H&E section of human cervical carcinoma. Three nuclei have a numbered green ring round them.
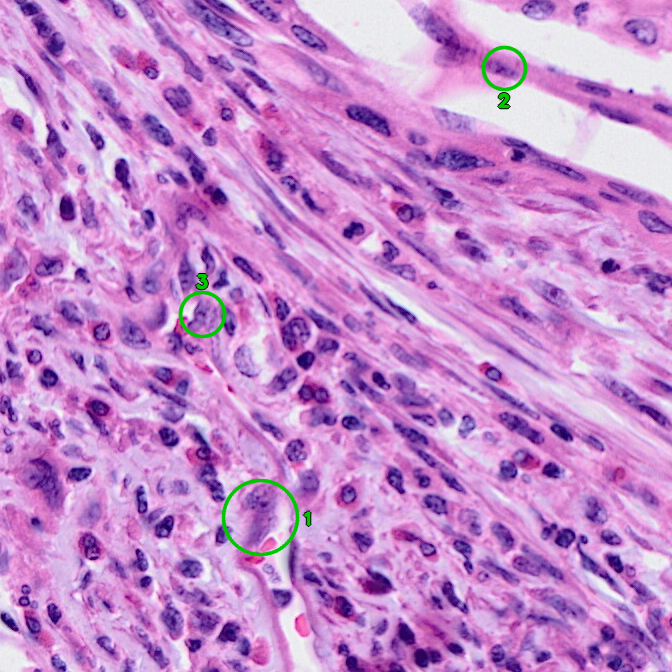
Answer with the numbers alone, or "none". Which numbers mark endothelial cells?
1, 3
